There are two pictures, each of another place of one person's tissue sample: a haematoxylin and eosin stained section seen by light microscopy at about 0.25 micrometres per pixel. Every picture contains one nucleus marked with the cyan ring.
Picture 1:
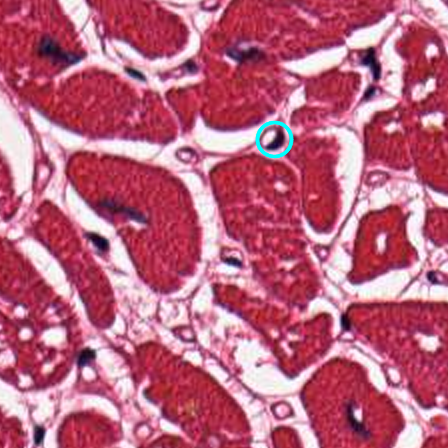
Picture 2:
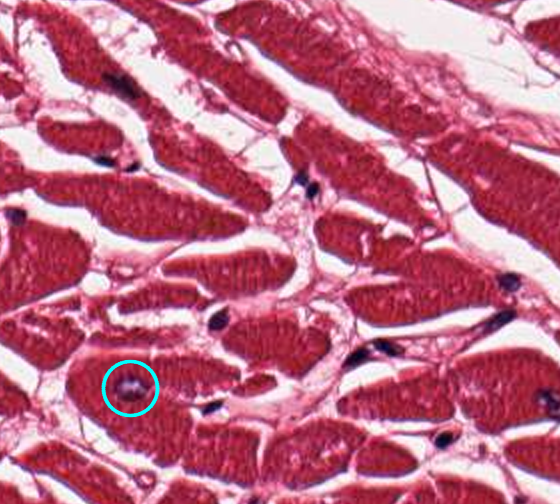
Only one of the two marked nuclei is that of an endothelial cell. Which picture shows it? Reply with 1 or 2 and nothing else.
1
